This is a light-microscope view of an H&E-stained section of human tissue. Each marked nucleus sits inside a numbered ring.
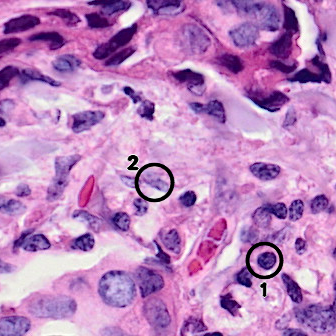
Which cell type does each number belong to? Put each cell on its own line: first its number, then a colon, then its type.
1: lymphocyte
2: macrophage, monocyte or dendritic cell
